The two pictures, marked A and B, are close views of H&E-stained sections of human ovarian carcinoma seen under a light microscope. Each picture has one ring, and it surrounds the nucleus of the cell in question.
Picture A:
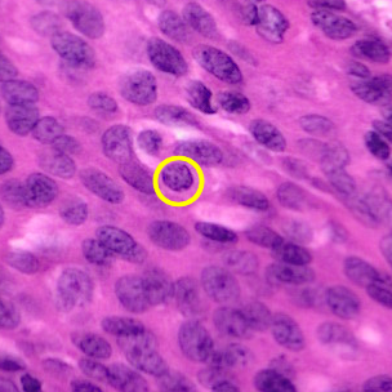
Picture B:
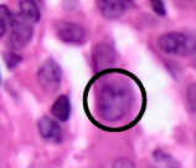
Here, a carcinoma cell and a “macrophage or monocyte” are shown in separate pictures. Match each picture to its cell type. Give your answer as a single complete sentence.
Picture B shows a carcinoma cell, while picture A shows a “macrophage or monocyte”.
